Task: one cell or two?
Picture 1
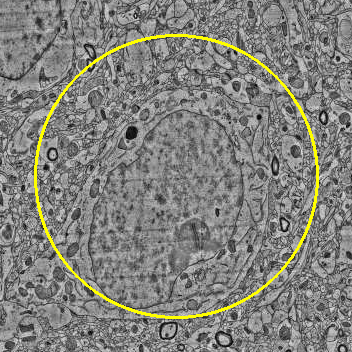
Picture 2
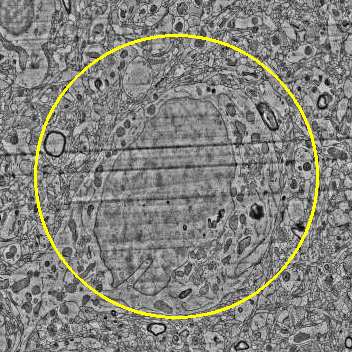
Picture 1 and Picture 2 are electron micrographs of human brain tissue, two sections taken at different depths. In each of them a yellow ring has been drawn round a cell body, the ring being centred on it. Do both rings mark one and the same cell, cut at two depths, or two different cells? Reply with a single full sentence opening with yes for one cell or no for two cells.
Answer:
Yes, these two rings point to one cell rather than two.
